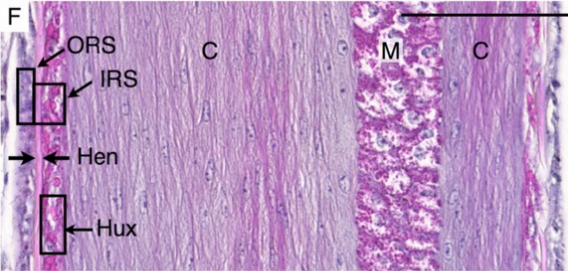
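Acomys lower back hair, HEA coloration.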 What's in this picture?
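Longitudinal section through the shaft of a growing spine follicle, stained pink and purple, showing a central medulla flanked by cortex, with root sheath layers at the left edge. The medulla is a broad band of large, rounded cells with pale, vacuolated, coarsely granular pink cytoplasm and round nuclei. The cortex on either side is tightly packed, longitudinally streaked pink material with elongated, spindle-shaped nuclei aligned along the long axis. At the left margin thin root sheath layers run parallel to the shaft, the inner one containing brightly pink-staining cells.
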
